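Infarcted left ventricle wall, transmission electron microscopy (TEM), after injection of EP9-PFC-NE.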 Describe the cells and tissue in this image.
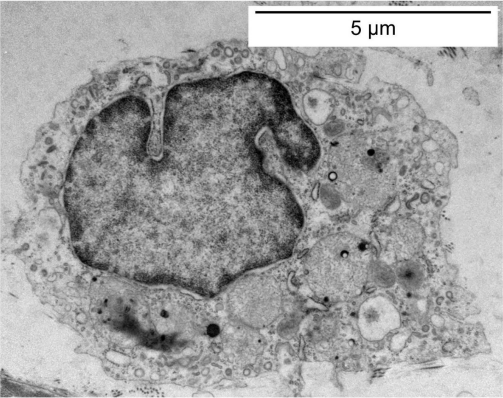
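A single rounded cell sits on its own in a pale space, its outline ruffled by short surface projections. The surrounding cytoplasm is crowded with small round vesicles and membrane-bound bodies of varying density.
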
